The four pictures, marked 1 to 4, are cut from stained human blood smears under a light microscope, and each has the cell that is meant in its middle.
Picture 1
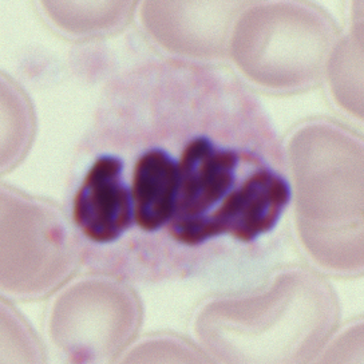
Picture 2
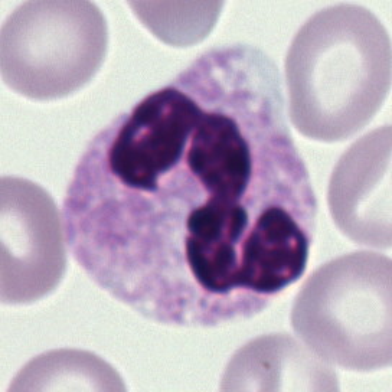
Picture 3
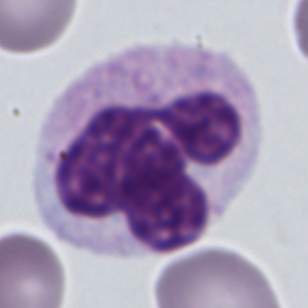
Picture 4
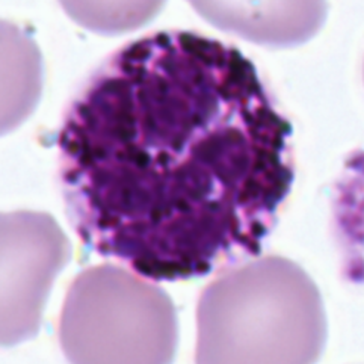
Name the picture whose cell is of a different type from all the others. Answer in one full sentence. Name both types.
Picture 4 is the odd one out: it shows a basophil, while the others show segmented neutrophils.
